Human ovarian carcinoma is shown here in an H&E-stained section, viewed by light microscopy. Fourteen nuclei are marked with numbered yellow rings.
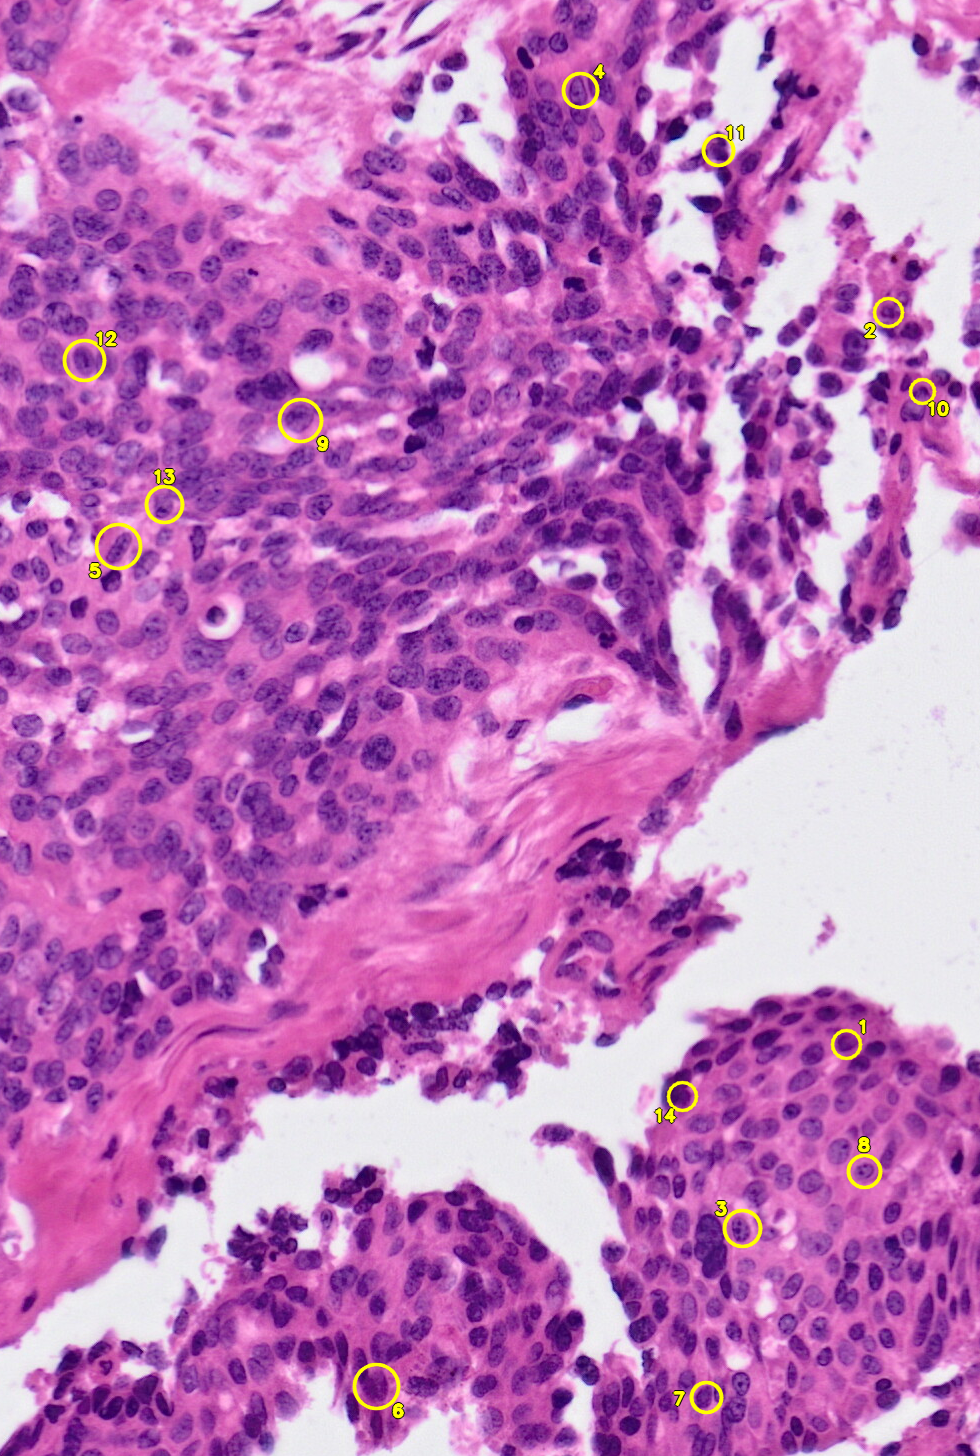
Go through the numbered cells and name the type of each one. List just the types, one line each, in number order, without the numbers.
carcinoma cell
carcinoma cell
macrophage or monocyte
carcinoma cell
macrophage or monocyte
carcinoma cell
carcinoma cell
macrophage or monocyte
carcinoma cell
endothelial cell
macrophage or monocyte
carcinoma cell
macrophage or monocyte
carcinoma cell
